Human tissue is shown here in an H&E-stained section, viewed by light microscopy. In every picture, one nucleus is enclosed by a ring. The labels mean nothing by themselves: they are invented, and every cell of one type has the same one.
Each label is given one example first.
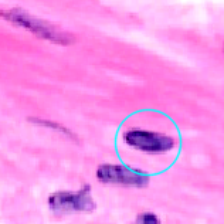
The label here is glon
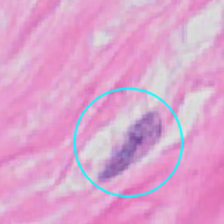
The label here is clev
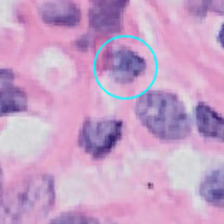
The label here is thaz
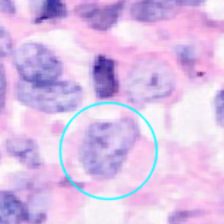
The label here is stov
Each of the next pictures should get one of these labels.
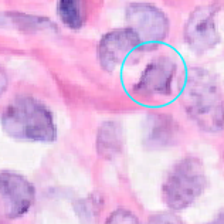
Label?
stov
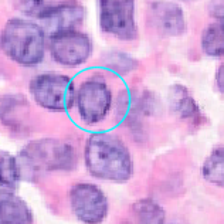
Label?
stov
